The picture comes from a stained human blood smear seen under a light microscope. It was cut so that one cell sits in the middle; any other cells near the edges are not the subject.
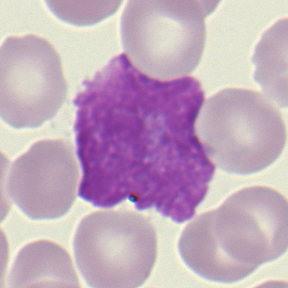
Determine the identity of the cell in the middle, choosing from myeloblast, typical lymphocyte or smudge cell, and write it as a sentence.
As for the cell in the middle, it is a smudge cell.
